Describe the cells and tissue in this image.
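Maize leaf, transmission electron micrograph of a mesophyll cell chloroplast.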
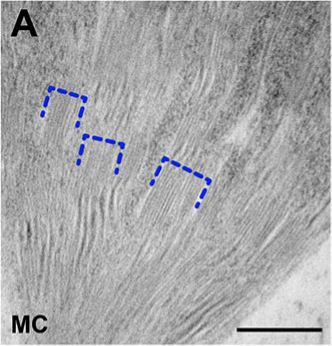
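The interior is filled with internal membranes running roughly in parallel, diagonally across the field. Many of these membranes are pressed closely together into dense stacks, grana, several of which are outlined by dashed brackets; between stacks, thinner single membranes connect them. The surrounding stroma appears finely granular and grey.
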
